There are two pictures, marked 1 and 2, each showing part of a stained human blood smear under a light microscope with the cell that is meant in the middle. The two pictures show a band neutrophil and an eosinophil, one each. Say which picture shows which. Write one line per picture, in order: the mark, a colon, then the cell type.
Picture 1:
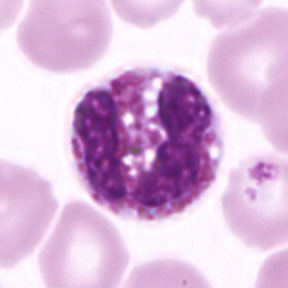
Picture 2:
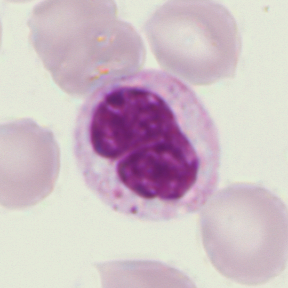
1: eosinophil
2: band neutrophil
